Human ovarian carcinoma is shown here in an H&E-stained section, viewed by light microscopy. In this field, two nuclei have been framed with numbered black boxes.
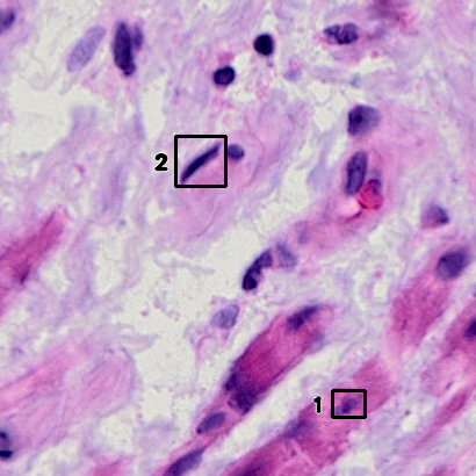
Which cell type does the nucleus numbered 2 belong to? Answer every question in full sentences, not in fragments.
Within this field of view, the cell labelled 2 is a fibroblast.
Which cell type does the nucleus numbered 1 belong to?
The cell pointed out by number 1 is a smooth muscle cell.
